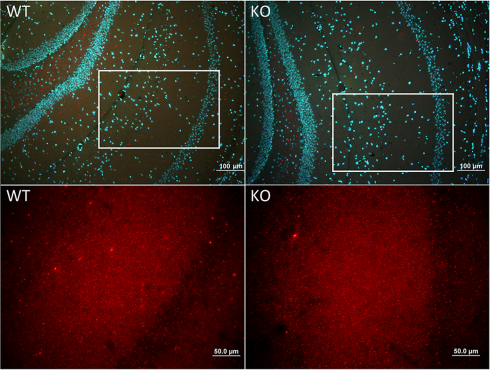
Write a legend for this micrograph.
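These are fluorescent sections of hippocampus in which curved, densely packed bands of blue-cyan nuclei form the principal cell layers, with scattered single nuclei in the broad zone between them. A box marks part of this sparsely nucleated zone, which is shown enlarged beneath in the red channel. There the red labelling is a fine, diffuse granular glow with a few brighter dots, spread across the neuropil rather than gathered in cell bodies. The left and right images look much alike in the intensity and pattern of this red labelling.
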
